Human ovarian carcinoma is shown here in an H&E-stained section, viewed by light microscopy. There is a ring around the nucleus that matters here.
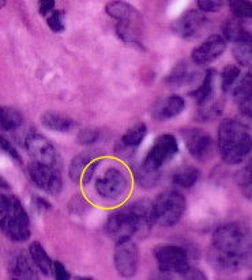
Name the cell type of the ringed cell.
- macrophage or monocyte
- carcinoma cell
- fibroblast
macrophage or monocyte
